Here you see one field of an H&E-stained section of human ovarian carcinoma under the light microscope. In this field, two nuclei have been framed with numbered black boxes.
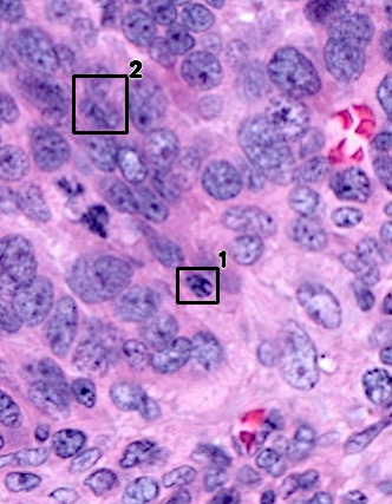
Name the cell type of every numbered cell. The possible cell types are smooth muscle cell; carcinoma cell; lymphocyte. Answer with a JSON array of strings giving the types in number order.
["lymphocyte", "carcinoma cell"]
